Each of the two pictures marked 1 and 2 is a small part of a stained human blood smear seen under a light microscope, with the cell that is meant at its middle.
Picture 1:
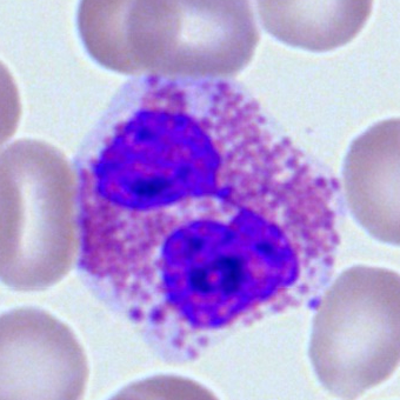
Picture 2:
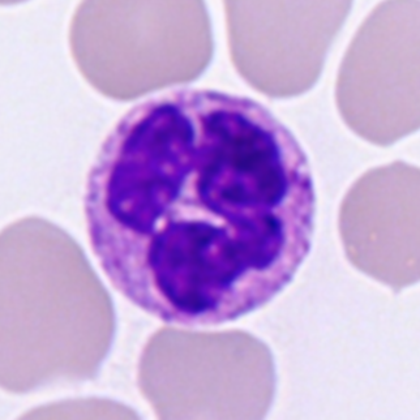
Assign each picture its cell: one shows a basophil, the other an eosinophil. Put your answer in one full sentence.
The cell in picture 1 is an eosinophil, and the one in picture 2 is a basophil.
